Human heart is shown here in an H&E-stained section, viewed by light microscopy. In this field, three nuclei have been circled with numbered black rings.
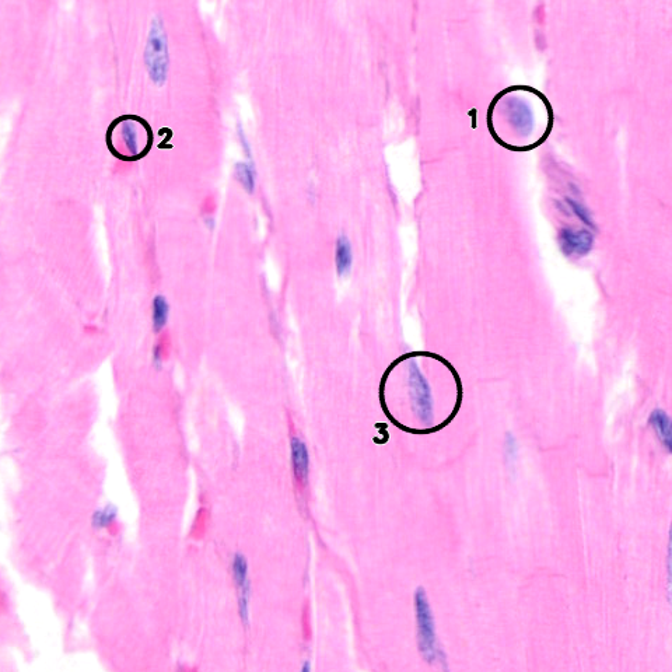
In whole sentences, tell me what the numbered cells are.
Cells 1 and 3 are fibroblasts. Cell 2 is an endothelial cell.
